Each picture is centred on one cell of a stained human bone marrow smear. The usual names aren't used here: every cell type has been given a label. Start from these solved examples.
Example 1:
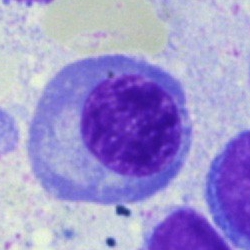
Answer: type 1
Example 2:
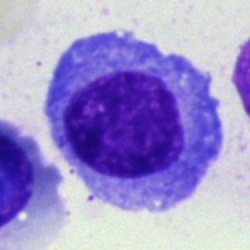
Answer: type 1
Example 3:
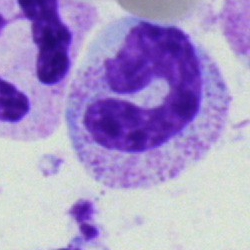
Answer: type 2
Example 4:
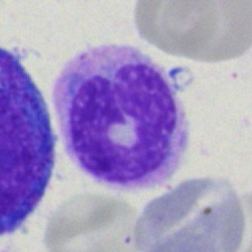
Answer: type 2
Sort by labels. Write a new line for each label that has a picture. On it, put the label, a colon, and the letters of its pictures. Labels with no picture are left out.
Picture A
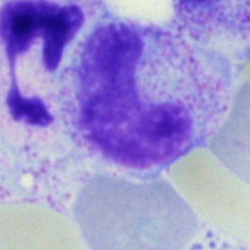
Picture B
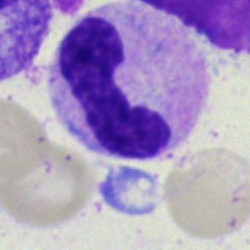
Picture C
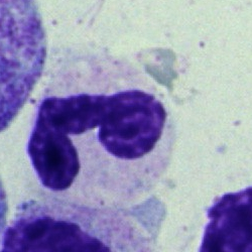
type 2: A, B, C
